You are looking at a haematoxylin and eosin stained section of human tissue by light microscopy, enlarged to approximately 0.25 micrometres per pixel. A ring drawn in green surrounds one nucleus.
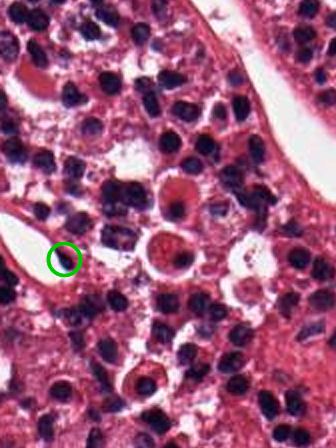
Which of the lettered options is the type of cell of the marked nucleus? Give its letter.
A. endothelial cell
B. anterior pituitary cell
A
